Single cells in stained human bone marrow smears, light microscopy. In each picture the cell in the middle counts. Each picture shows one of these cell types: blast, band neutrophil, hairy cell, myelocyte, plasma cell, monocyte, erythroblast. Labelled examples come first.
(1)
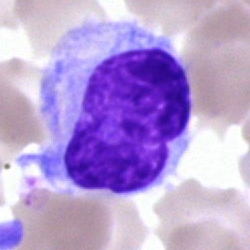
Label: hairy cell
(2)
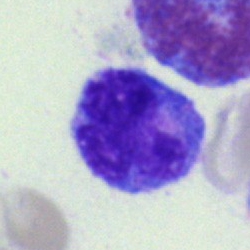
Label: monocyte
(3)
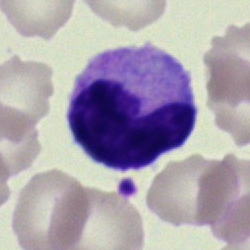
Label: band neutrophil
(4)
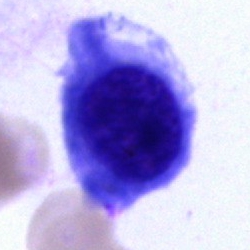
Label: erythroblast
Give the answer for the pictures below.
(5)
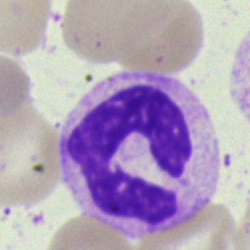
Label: band neutrophil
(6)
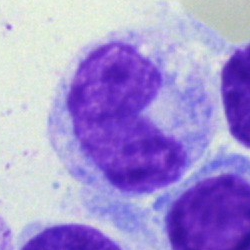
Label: monocyte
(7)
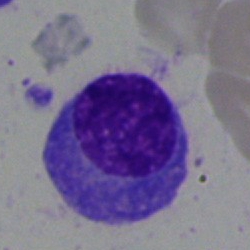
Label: plasma cell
